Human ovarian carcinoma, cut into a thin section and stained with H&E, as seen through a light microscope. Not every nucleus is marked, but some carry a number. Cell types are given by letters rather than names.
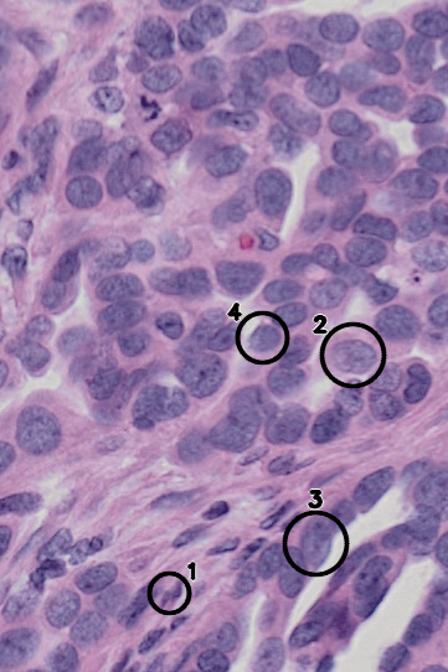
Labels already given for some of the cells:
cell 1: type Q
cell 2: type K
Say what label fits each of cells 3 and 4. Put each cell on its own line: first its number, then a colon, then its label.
3: type K
4: type K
